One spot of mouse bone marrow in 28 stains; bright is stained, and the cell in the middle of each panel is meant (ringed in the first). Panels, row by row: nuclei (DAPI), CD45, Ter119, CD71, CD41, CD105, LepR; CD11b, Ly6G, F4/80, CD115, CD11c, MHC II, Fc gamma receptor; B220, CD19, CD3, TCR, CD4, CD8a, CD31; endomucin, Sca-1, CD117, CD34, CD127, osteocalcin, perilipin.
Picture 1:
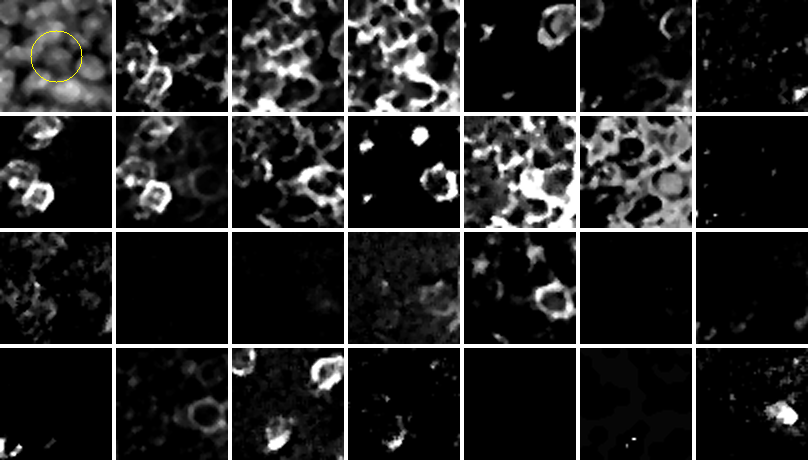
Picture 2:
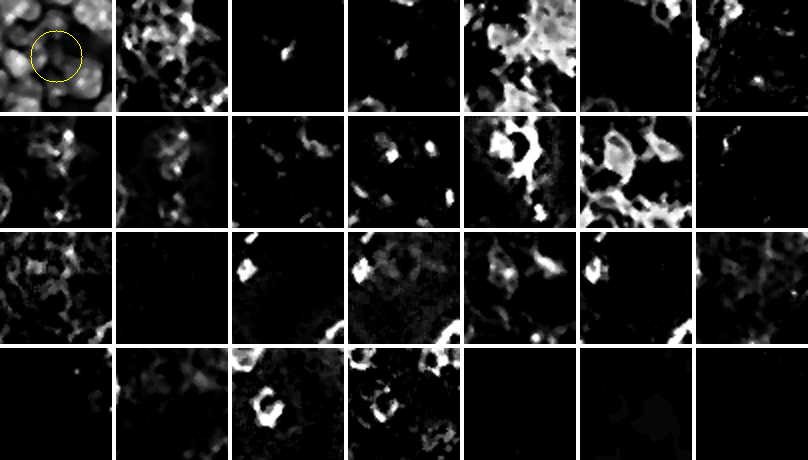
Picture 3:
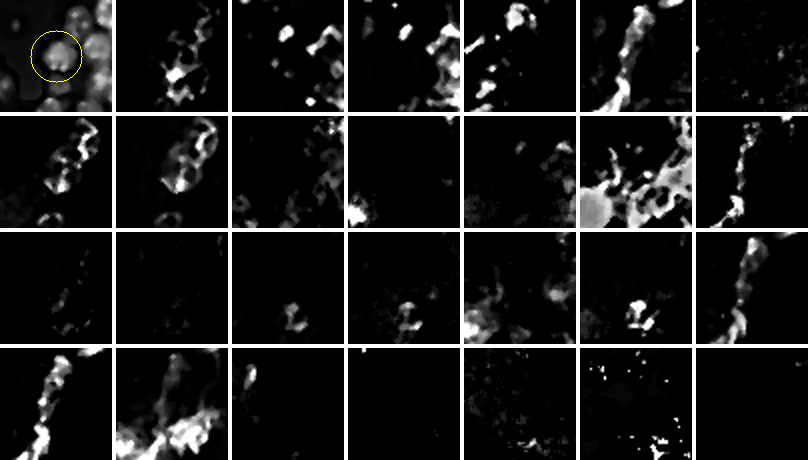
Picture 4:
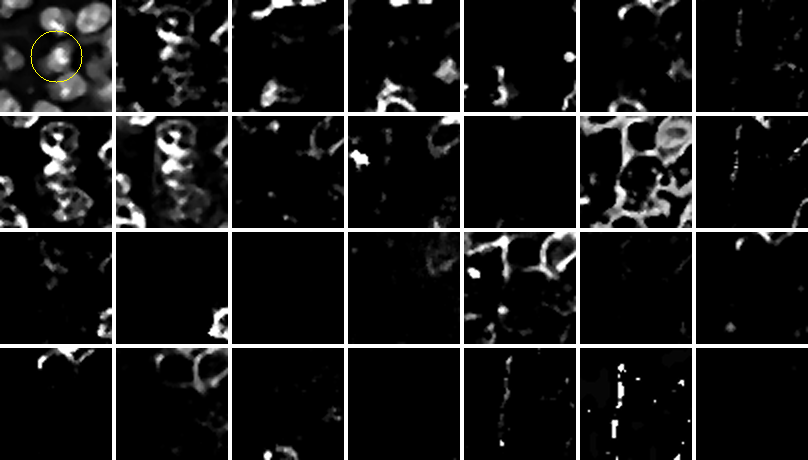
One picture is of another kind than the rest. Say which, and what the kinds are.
Picture 1 shows a conventional dendritic cell; the rest show neutrophils.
